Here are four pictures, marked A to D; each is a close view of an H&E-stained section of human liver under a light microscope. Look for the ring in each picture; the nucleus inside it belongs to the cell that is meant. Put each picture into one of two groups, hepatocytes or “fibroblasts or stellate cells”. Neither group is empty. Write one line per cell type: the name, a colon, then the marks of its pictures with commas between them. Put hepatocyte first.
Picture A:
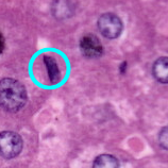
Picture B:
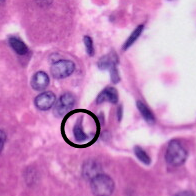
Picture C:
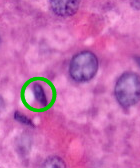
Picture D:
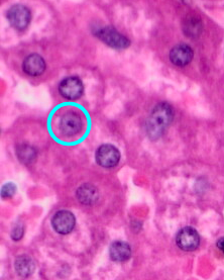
hepatocyte: D
fibroblast or stellate cell: A, B, C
